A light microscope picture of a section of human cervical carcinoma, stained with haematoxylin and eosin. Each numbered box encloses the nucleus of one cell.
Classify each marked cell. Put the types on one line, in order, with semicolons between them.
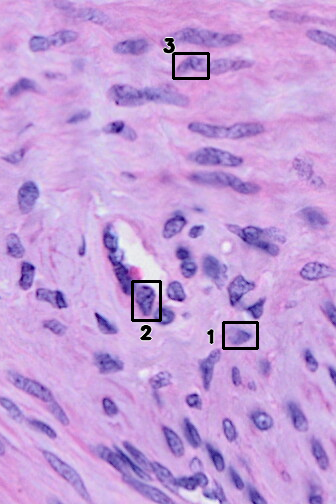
fibroblast; endothelial cell; smooth muscle cell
